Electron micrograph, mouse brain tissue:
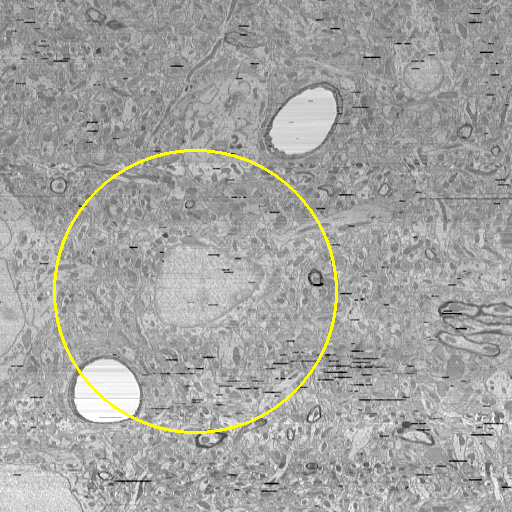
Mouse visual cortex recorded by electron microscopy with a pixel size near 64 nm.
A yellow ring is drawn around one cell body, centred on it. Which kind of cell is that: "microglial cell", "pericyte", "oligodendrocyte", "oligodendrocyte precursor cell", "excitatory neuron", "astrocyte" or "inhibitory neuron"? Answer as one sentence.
It is an astrocyte at the centre of the ring.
